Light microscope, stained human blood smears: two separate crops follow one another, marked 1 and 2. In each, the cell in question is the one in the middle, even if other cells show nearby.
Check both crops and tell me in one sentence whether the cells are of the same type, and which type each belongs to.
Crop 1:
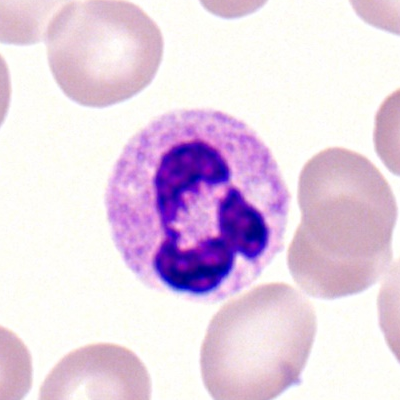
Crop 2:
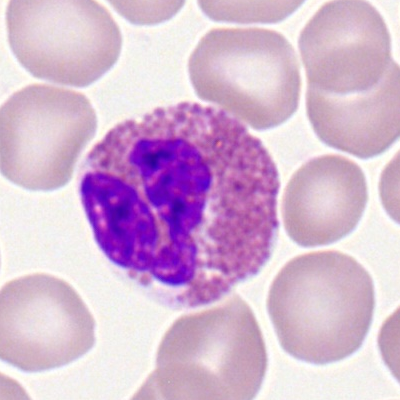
No, the cell in crop 1 is a segmented neutrophil, and the cell in crop 2 is an eosinophil.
